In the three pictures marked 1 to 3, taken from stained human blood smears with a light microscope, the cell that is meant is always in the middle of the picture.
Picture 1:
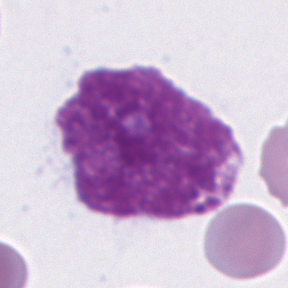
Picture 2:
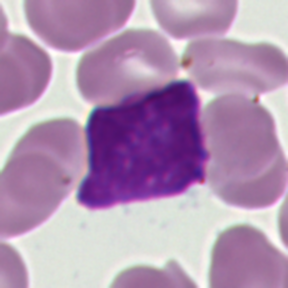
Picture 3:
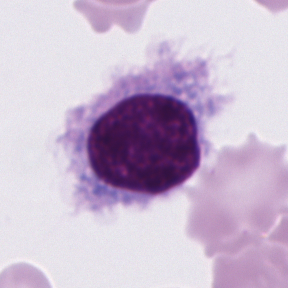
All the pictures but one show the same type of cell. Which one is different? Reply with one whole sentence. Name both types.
All pictures except 3 show smudge cells; picture 3 shows a hairy cell.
